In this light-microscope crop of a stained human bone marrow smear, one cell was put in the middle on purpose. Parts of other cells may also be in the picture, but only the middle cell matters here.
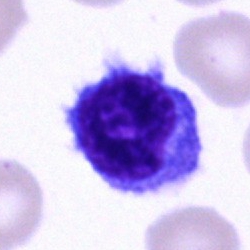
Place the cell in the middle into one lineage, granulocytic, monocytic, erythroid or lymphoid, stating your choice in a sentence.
Lineage-wise, the central cell here belongs with the lymphoid series.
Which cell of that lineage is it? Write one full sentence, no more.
By type, the central cell of the crop is a lymphocyte.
